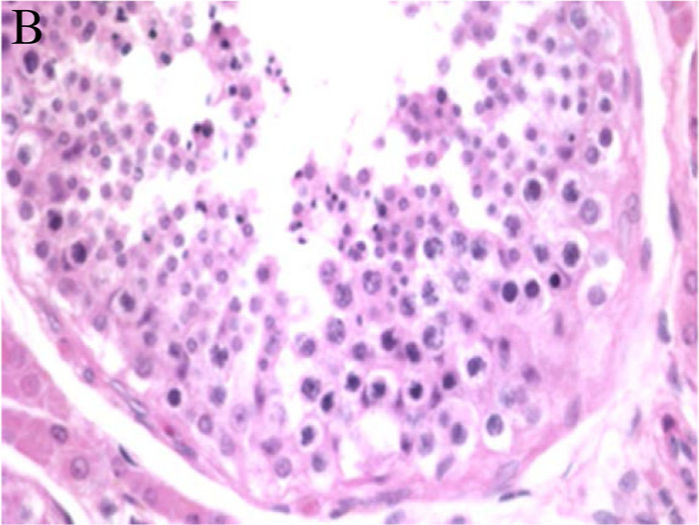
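This is a seminiferous tubule of the testis, filled with many spermatogenic cells. The tubule is bounded by a thin pink wall. Inside it, many layers of round cells with purple nuclei are stacked from the wall toward an open central lumen. Some of the nuclei are large, and some show coarse dark chromatin. Smaller, darker cells and loose cell debris lie nearer the lumen. Outside the tubule, at the lower left, are pink interstitial cells with round nuclei.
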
